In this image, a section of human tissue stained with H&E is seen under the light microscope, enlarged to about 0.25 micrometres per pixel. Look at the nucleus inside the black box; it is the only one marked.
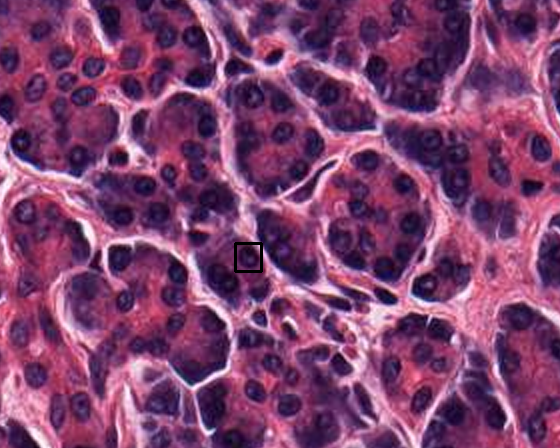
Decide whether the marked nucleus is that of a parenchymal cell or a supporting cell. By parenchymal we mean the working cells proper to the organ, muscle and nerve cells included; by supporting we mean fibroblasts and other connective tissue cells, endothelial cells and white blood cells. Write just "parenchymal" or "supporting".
parenchymal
